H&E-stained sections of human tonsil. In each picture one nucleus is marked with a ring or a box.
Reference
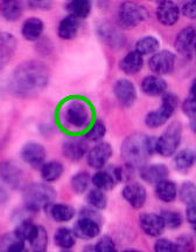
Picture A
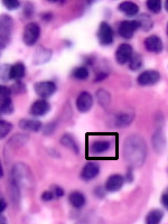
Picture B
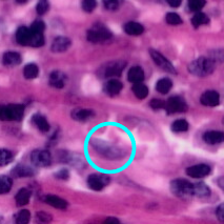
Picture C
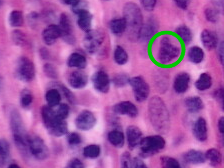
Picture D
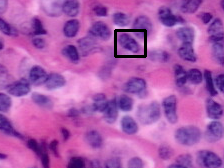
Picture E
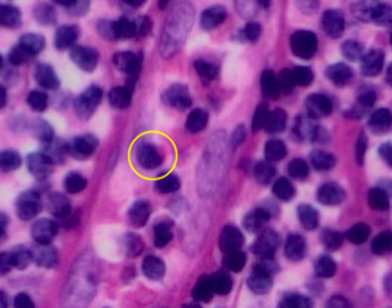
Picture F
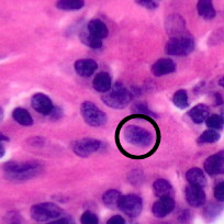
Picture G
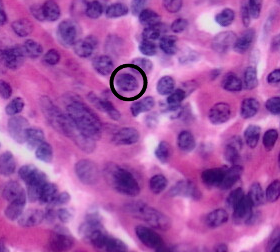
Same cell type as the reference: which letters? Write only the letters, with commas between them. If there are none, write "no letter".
A, B, C, E, F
